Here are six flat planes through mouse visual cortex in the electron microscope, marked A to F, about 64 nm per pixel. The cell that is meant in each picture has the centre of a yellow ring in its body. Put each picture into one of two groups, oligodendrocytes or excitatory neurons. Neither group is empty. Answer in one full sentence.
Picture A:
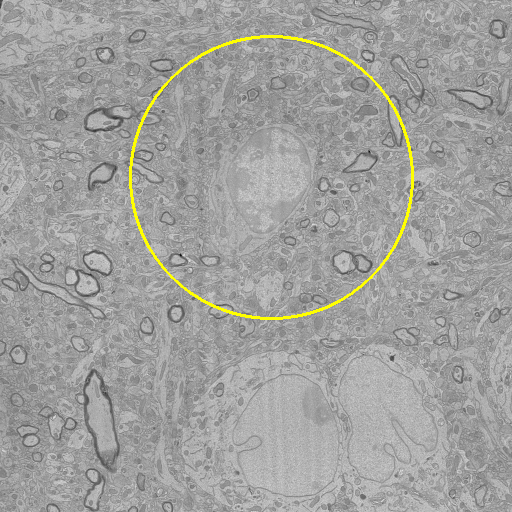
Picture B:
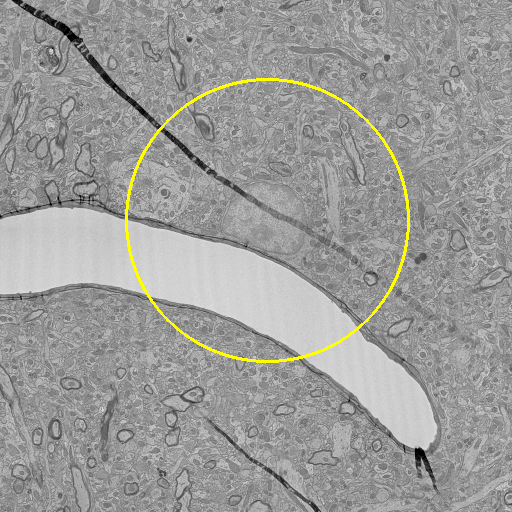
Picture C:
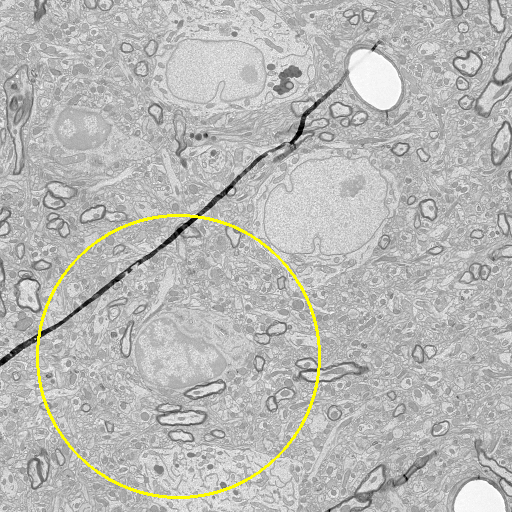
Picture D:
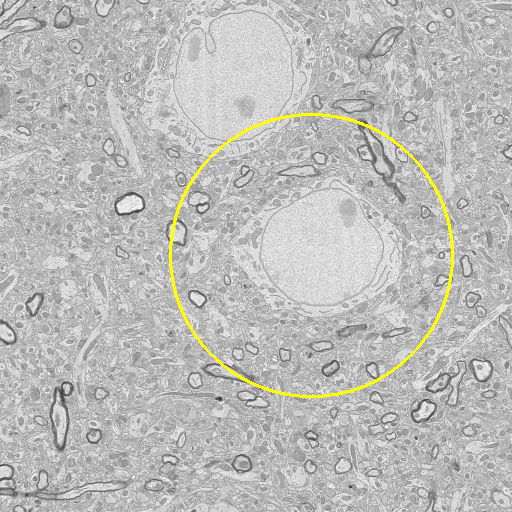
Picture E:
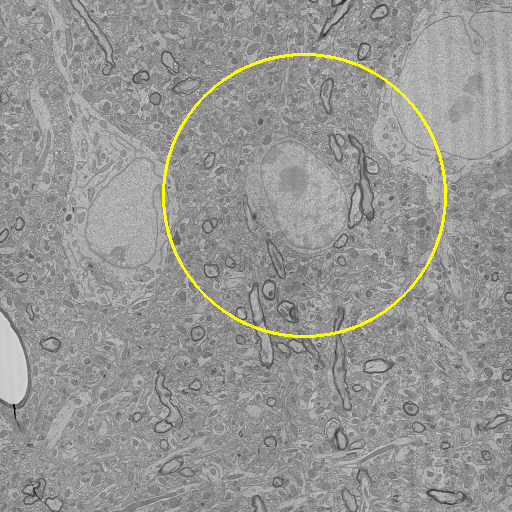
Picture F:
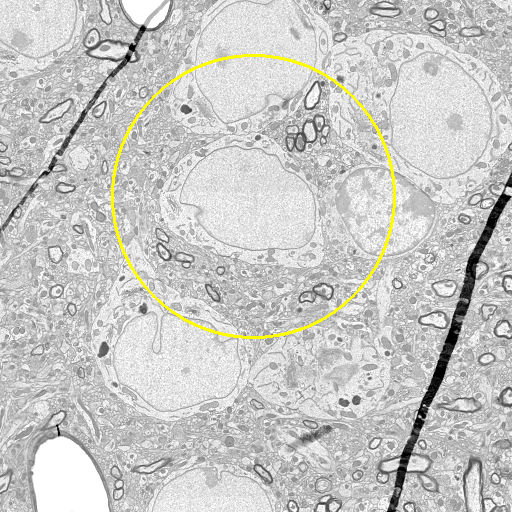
Pictures A, B, C and E show oligodendrocytes; pictures D and F show excitatory neurons.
